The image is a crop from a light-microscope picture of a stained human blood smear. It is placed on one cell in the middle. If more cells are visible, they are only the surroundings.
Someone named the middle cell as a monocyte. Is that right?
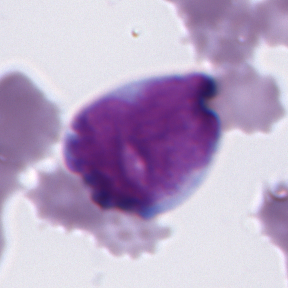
no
